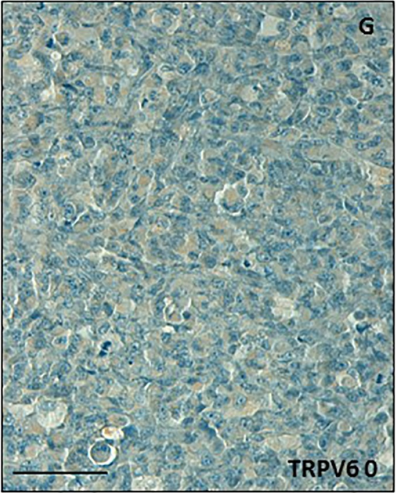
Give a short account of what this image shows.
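Here again a dense sheet of tumor cells fills the field, crowded so closely that the cell borders are hard to follow. The nuclei dominate the picture: they are large, dark blue and irregular, differing in size and shape and spaced unevenly. Cytoplasm is scant and pale, and a few rounded, paler cells with clear cytoplasm stand out among the others. There is no clear brown staining of the cells; the field is almost wholly blue from the counterstain with only a faint background tint.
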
